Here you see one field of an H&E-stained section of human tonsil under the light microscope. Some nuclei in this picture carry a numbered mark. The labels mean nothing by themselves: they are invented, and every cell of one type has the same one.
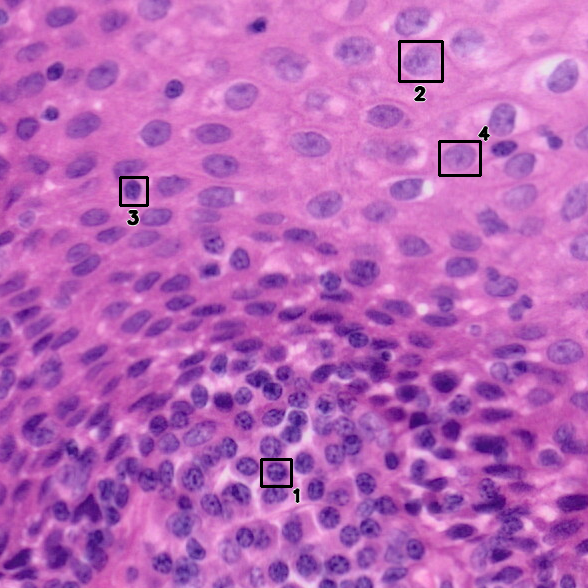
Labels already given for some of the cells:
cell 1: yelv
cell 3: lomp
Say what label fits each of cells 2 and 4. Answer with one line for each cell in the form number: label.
2: lomp
4: lomp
